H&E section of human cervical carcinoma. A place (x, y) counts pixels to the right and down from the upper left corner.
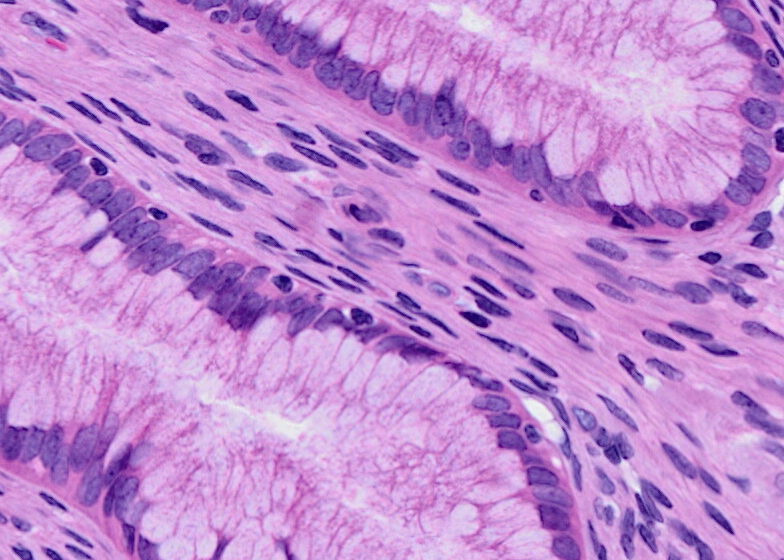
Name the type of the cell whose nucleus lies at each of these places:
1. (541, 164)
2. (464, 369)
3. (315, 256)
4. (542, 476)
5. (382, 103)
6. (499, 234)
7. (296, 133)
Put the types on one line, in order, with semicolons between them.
secretory epithelial cell; secretory epithelial cell; fibroblast; secretory epithelial cell; secretory epithelial cell; fibroblast; fibroblast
